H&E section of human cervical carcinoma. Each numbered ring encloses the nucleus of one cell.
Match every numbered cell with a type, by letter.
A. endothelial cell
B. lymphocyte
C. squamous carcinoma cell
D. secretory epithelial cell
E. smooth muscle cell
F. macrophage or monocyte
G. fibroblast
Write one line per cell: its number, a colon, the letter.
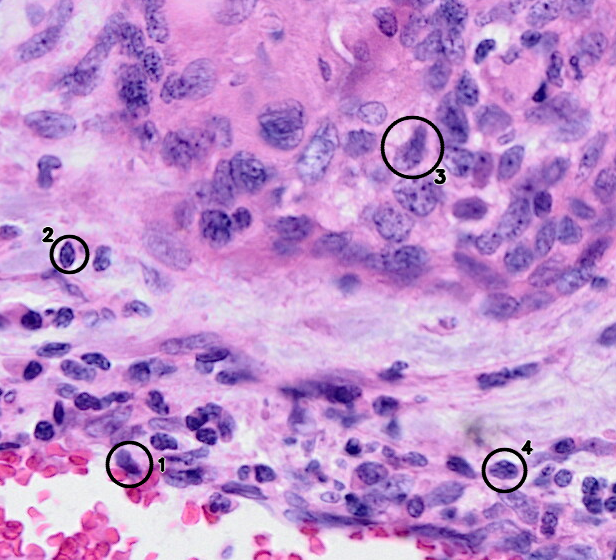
1: A
2: B
3: C
4: B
